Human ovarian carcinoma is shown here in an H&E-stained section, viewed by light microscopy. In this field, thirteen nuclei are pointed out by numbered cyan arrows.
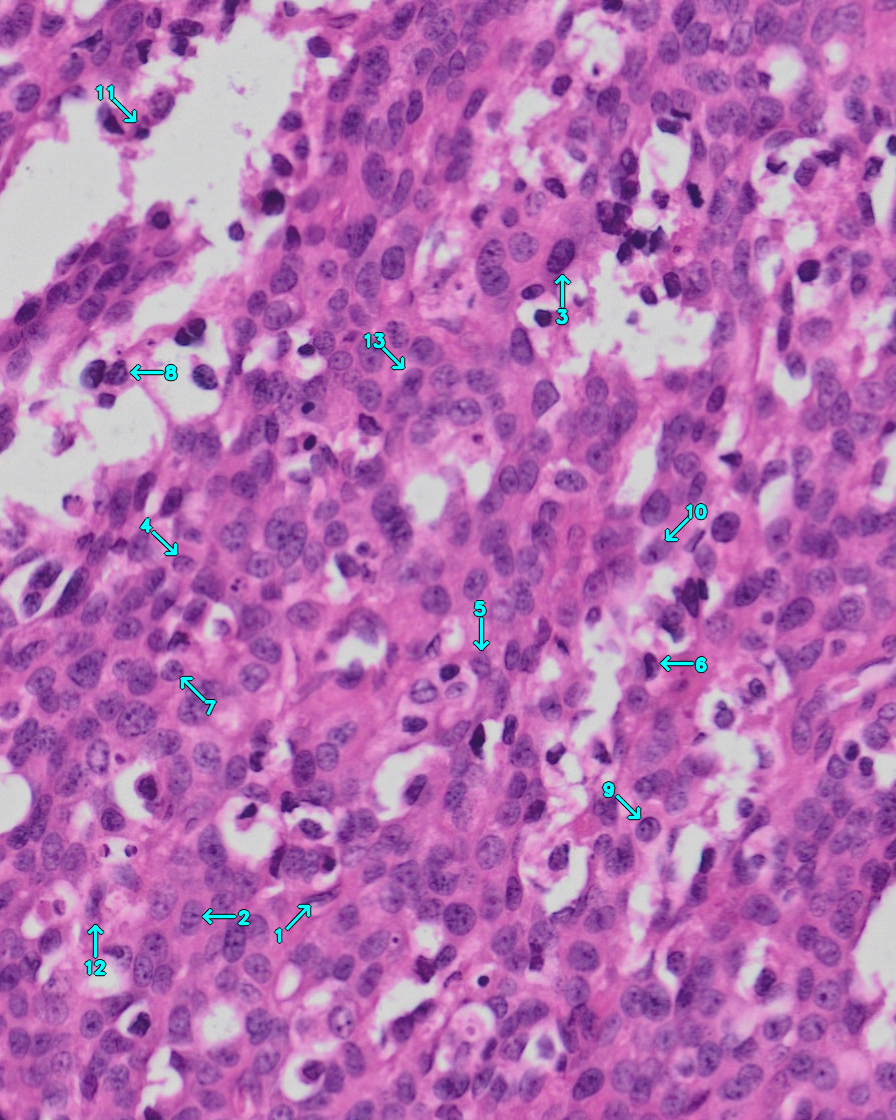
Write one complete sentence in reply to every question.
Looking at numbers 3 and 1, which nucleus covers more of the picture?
Of the two, number 3 is bigger and takes up about 1.5 times the area of number 1.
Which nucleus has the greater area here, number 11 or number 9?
Number 9 is larger; its area is about 2 times that of number 11.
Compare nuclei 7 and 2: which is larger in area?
Nucleus 2 covers more area, about 1.5 times as much as nucleus 7.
